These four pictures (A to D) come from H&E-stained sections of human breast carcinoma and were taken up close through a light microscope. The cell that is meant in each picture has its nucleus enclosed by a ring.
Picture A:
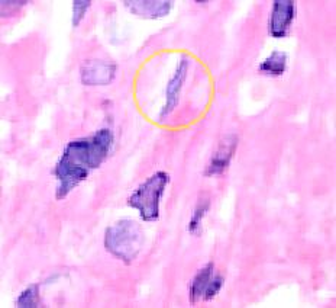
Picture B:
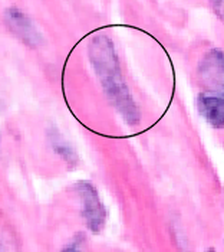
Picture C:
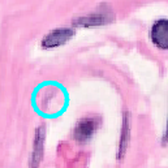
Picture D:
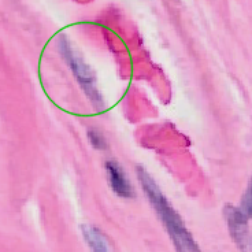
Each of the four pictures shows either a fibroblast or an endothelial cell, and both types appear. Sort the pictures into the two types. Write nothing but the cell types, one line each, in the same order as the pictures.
fibroblast
fibroblast
endothelial cell
endothelial cell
